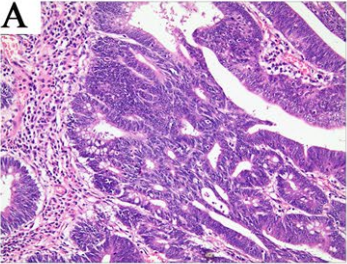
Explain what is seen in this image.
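This is a glandular tumor of the intestinal type, with neoplastic epithelium forming crowded, branching and villous-like glands. The epithelial cells are tall and columnar, with elongated, dark-staining, crowded and stratified nuclei and little mucin.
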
